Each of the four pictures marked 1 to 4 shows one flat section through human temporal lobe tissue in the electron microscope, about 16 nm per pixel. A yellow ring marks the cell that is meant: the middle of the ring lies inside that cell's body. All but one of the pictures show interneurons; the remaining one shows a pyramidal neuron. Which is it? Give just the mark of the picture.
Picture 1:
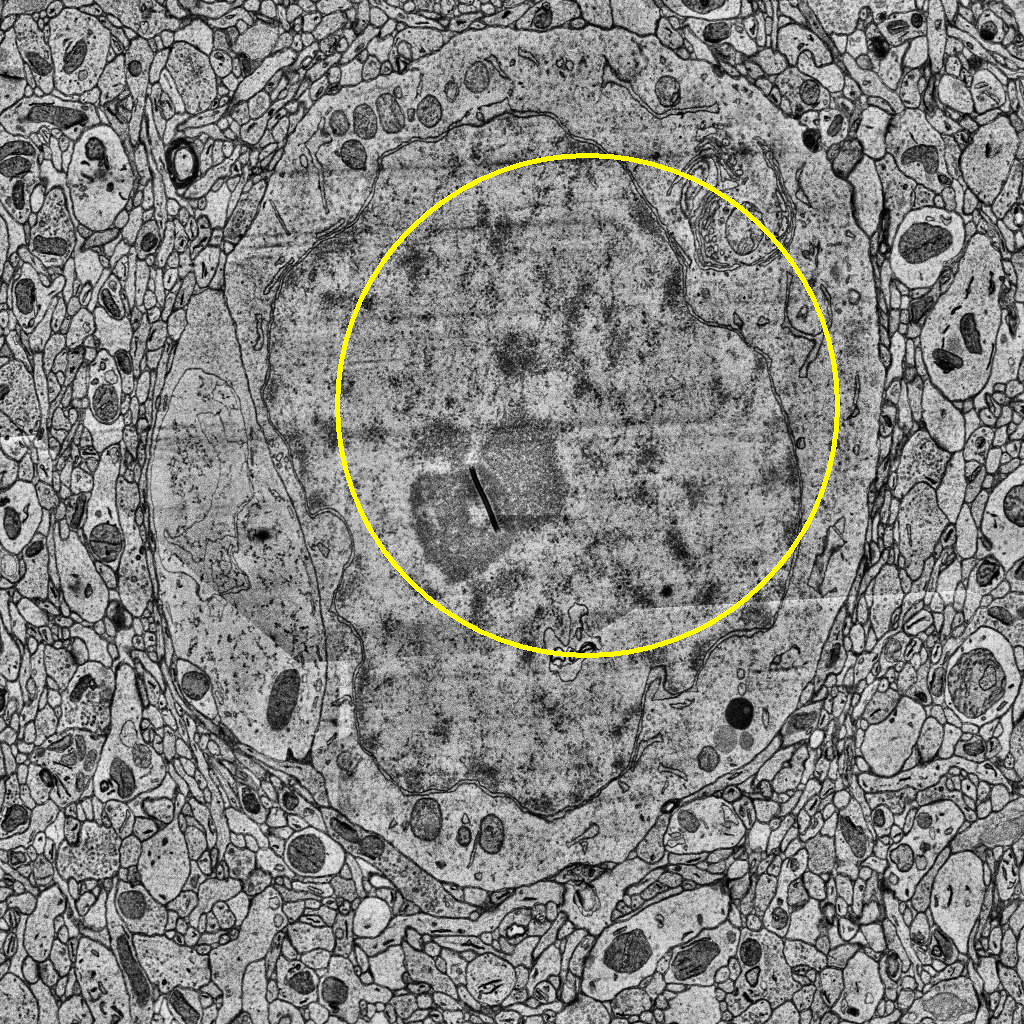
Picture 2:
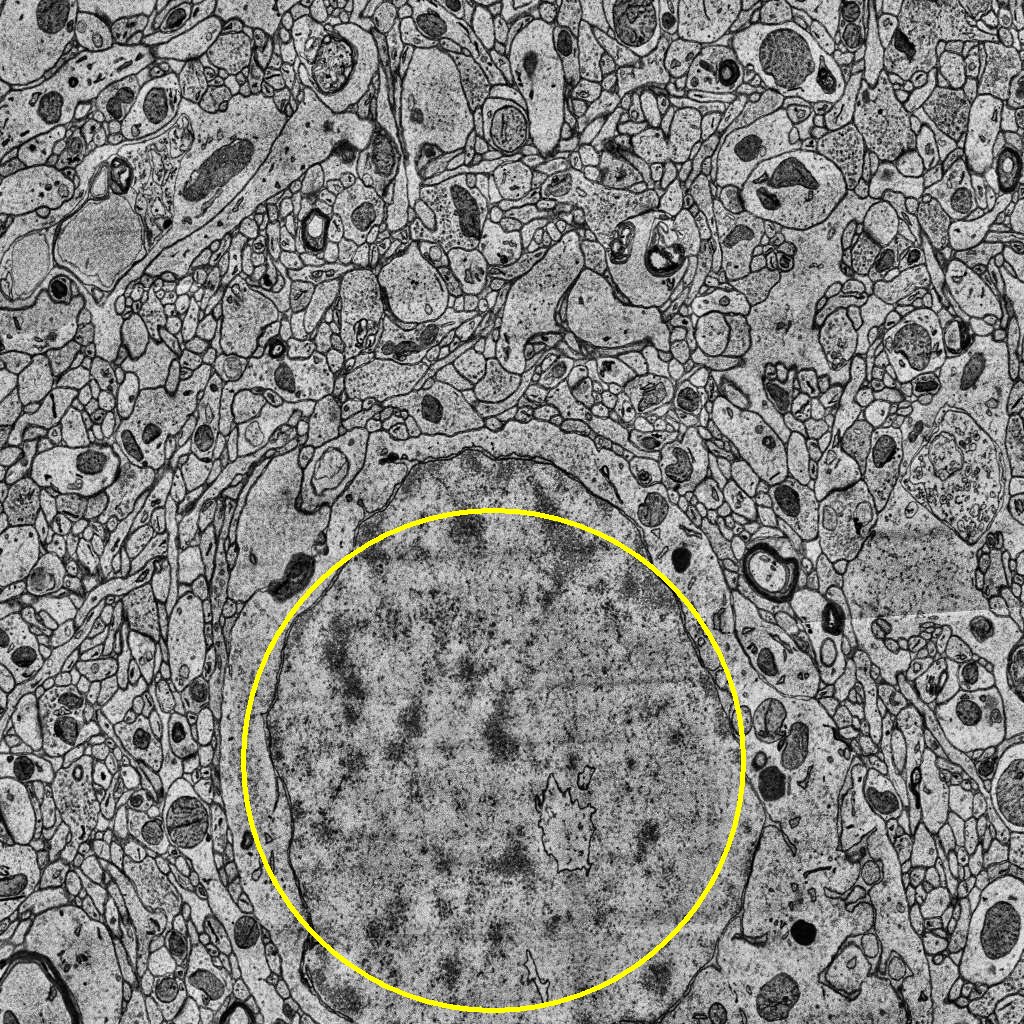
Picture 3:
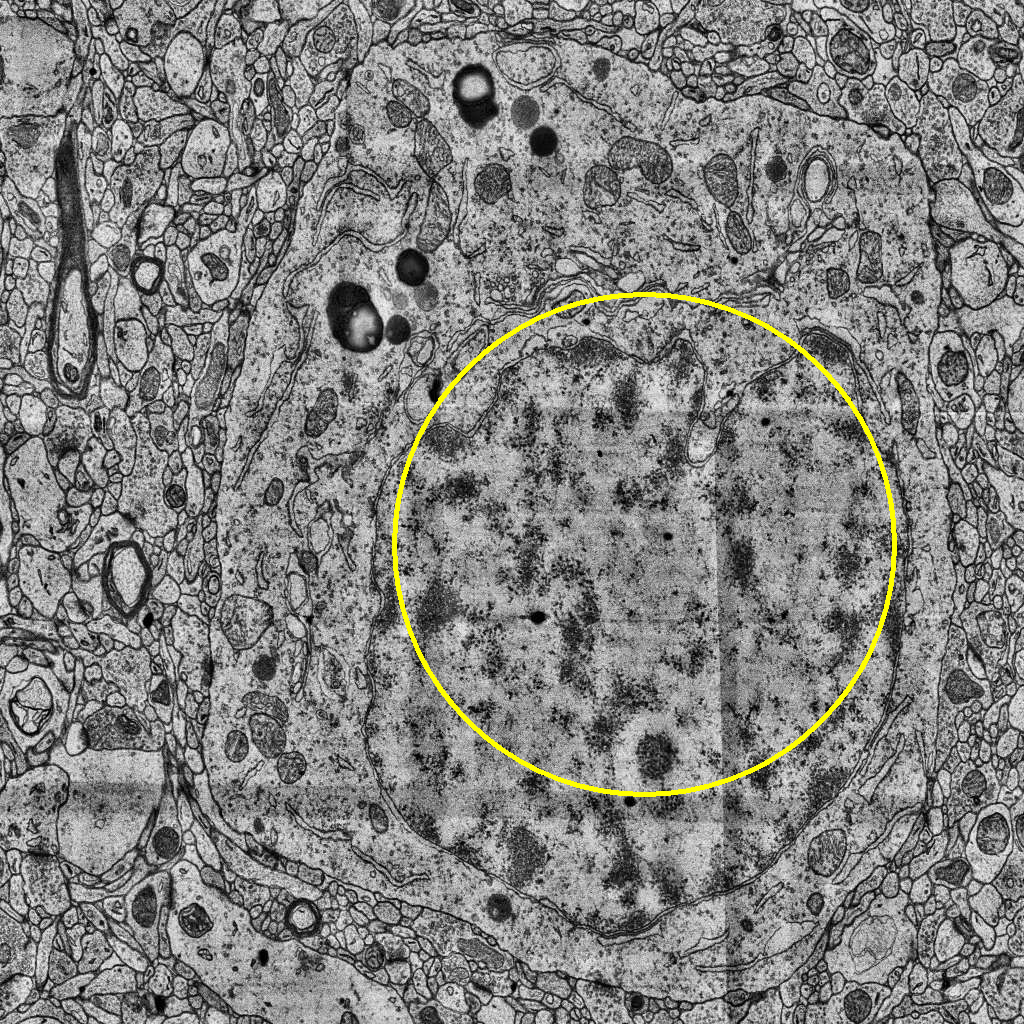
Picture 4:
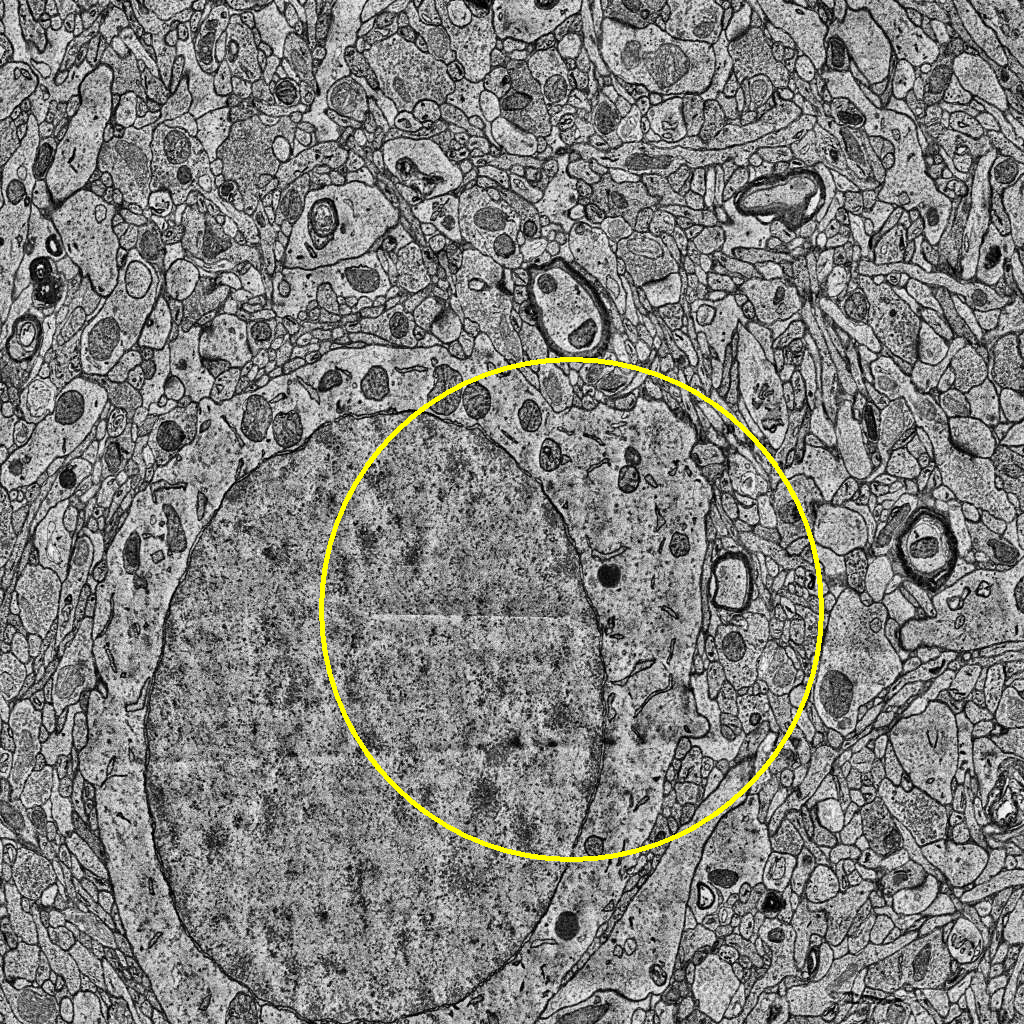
4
